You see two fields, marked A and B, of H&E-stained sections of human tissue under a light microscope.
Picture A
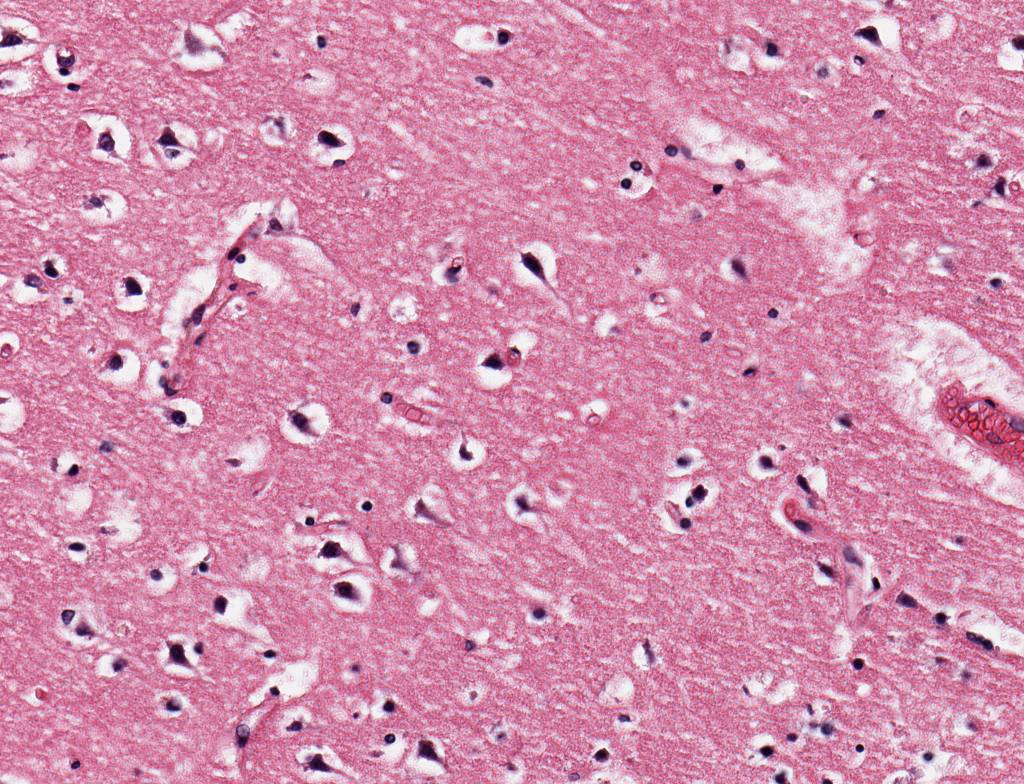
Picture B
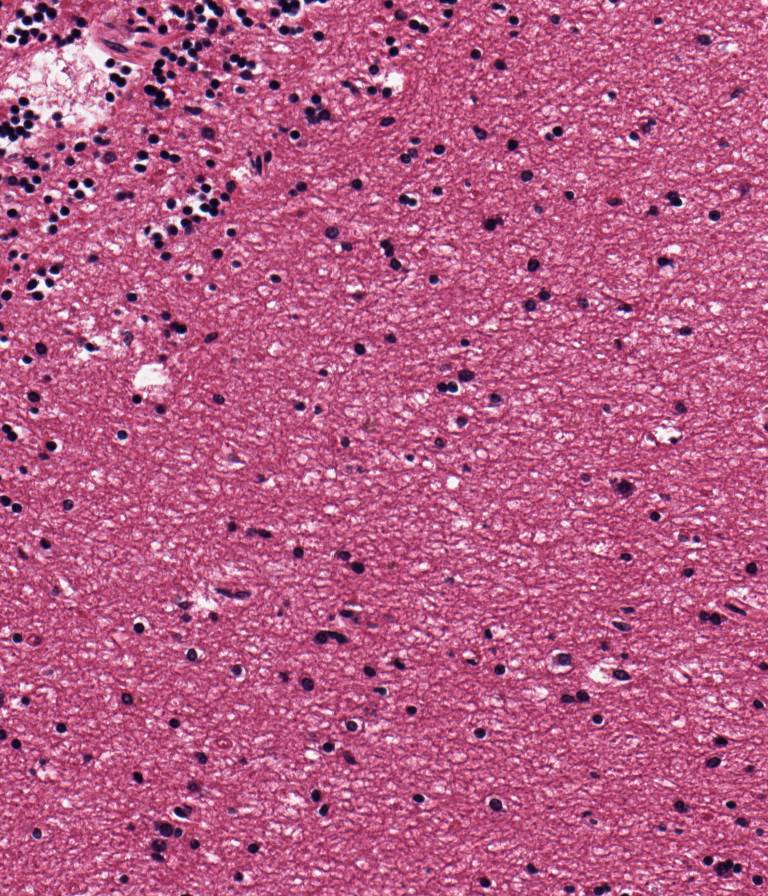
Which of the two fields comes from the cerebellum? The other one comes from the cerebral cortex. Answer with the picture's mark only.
B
